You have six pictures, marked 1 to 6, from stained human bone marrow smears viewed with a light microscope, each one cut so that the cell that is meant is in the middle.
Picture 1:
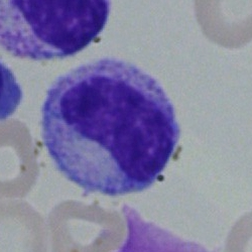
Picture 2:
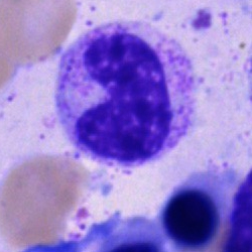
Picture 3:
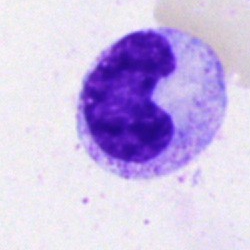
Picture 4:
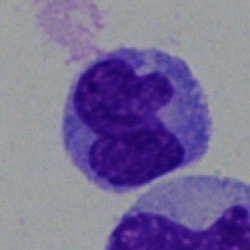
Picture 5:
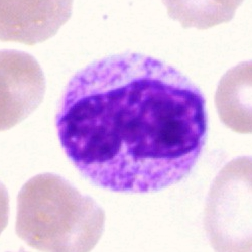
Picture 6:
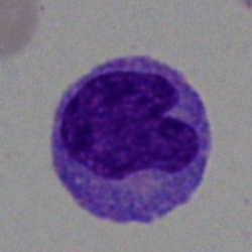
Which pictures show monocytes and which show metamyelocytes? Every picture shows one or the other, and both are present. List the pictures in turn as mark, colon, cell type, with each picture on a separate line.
1: metamyelocyte
2: metamyelocyte
3: metamyelocyte
4: monocyte
5: metamyelocyte
6: monocyte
